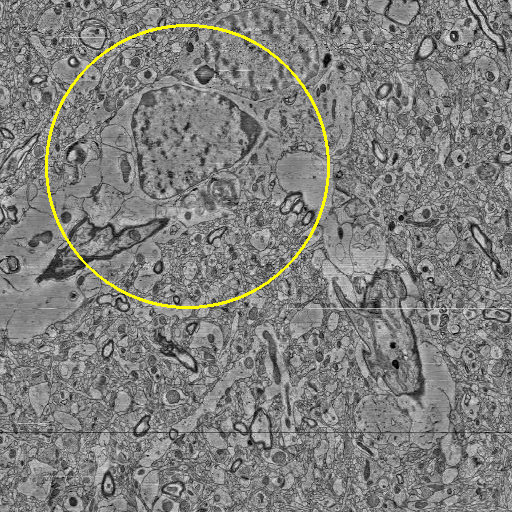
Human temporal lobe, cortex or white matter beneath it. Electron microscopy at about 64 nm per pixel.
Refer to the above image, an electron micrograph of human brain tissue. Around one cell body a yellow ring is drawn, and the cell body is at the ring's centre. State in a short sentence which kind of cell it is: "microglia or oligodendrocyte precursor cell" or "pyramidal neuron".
The centre of the ring falls on a microglial cell or oligodendrocyte precursor cell.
